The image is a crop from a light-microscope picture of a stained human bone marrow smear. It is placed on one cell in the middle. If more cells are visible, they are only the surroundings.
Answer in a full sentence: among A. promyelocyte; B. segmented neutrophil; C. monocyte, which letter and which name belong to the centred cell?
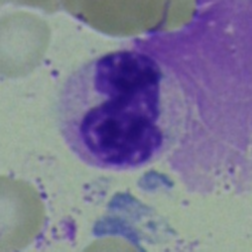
Option B is to be chosen, as the central cell is a segmented neutrophil.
